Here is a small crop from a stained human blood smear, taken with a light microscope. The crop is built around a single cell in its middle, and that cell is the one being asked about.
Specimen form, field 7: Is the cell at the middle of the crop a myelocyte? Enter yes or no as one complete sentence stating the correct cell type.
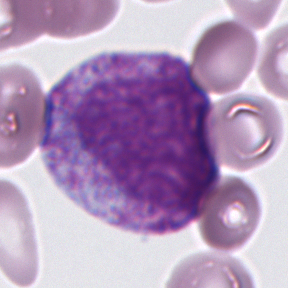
No, the cell placed at the center is an atypical promyelocyte rather than a myelocyte.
